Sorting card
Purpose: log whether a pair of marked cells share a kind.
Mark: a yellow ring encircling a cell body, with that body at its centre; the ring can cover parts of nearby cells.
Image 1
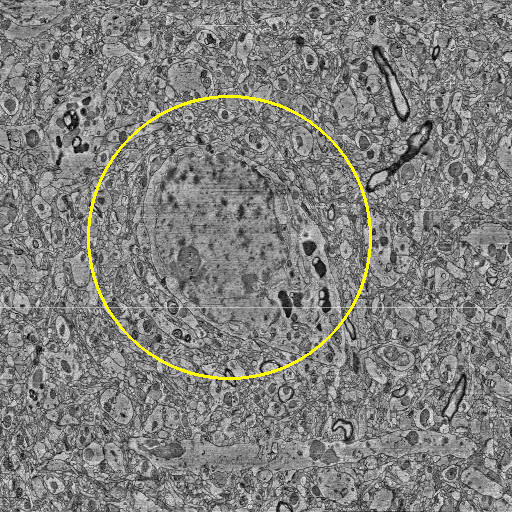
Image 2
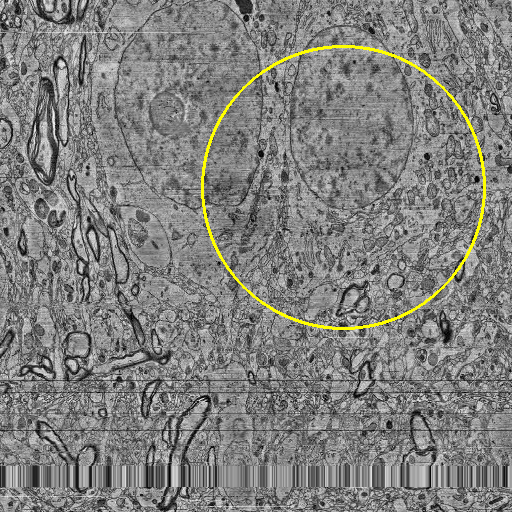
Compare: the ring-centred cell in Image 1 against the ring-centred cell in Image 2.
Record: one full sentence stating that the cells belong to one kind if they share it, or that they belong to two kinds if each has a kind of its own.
Across Images 1 and 2, the two ring-centred cells belong to one kind.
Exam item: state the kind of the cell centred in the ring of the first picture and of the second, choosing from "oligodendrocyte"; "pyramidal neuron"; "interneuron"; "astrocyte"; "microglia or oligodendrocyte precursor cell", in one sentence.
The second cell is an interneuron, just as the first is.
